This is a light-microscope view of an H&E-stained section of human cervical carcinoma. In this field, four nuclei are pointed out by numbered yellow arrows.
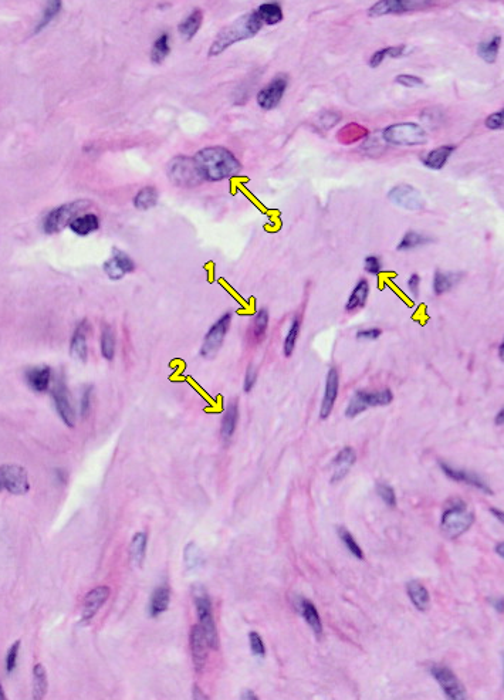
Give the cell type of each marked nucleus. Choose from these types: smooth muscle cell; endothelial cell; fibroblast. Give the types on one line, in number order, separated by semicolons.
smooth muscle cell; smooth muscle cell; endothelial cell; fibroblast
